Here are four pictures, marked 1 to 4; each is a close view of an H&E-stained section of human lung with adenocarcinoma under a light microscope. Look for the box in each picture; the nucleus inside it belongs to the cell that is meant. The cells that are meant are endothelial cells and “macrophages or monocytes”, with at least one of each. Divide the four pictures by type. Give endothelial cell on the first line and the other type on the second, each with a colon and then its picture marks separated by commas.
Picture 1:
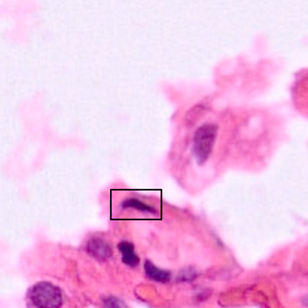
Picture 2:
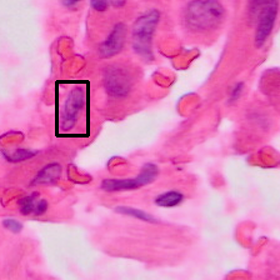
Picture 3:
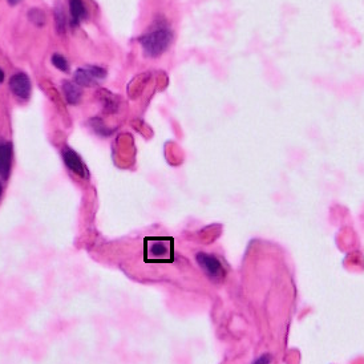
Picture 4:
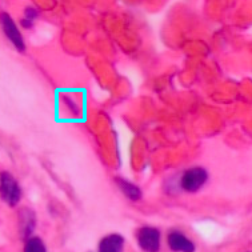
endothelial cell: 1, 3, 4
macrophage or monocyte: 2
